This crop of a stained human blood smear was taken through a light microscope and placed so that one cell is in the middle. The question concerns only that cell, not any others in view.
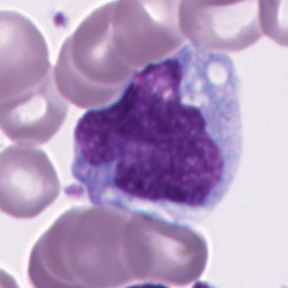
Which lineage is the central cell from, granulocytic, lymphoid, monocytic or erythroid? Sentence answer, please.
The cell at the middle of the crop is designated as monocytic in lineage.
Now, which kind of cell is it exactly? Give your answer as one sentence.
The cell in the exact centre of the crop is a monocyte.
